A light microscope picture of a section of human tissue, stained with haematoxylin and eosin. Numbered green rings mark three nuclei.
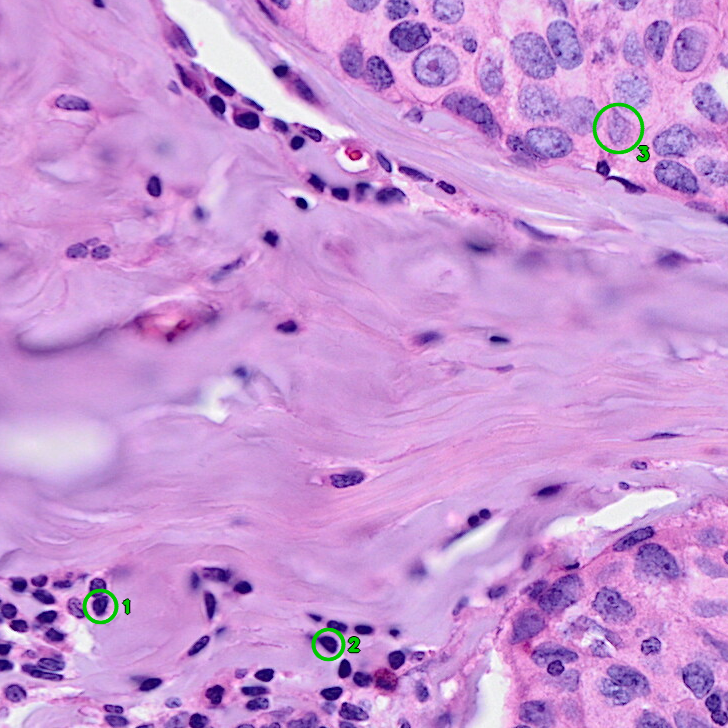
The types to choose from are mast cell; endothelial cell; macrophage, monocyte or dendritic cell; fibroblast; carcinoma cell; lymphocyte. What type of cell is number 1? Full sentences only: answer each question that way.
That cell with number 1 is a lymphocyte.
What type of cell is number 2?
The identity of cell 2 is that of a lymphocyte.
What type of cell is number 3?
The cell that carries the label 3 is a carcinoma cell.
